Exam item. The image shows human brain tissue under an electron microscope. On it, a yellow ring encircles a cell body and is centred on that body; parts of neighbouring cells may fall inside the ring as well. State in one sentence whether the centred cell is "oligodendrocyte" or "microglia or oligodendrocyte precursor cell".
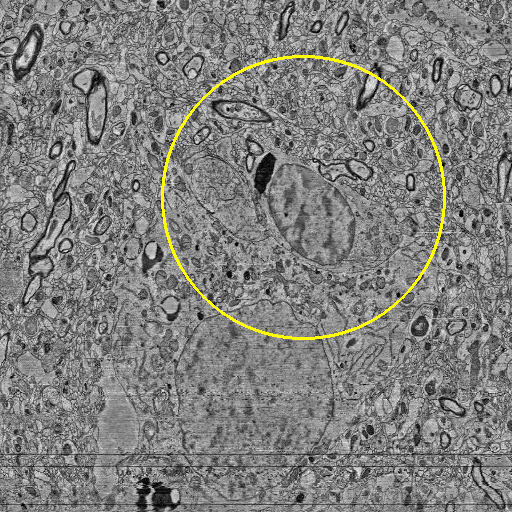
The cell body centred in the ring is an oligodendrocyte.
